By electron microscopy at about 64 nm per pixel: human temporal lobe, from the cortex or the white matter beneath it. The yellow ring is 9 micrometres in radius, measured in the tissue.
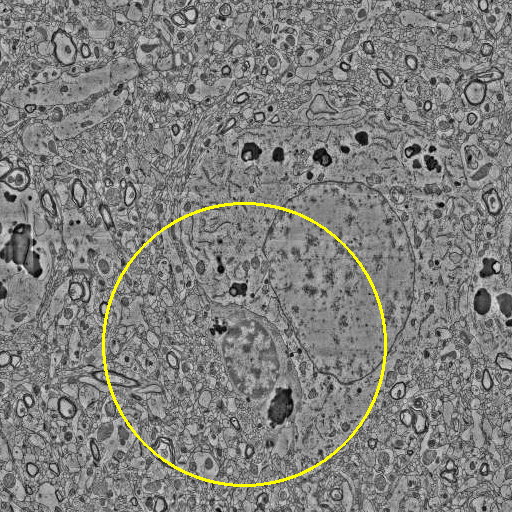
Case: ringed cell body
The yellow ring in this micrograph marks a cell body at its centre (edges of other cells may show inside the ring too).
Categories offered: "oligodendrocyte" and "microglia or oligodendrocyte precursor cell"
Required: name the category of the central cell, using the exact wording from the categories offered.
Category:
oligodendrocyte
